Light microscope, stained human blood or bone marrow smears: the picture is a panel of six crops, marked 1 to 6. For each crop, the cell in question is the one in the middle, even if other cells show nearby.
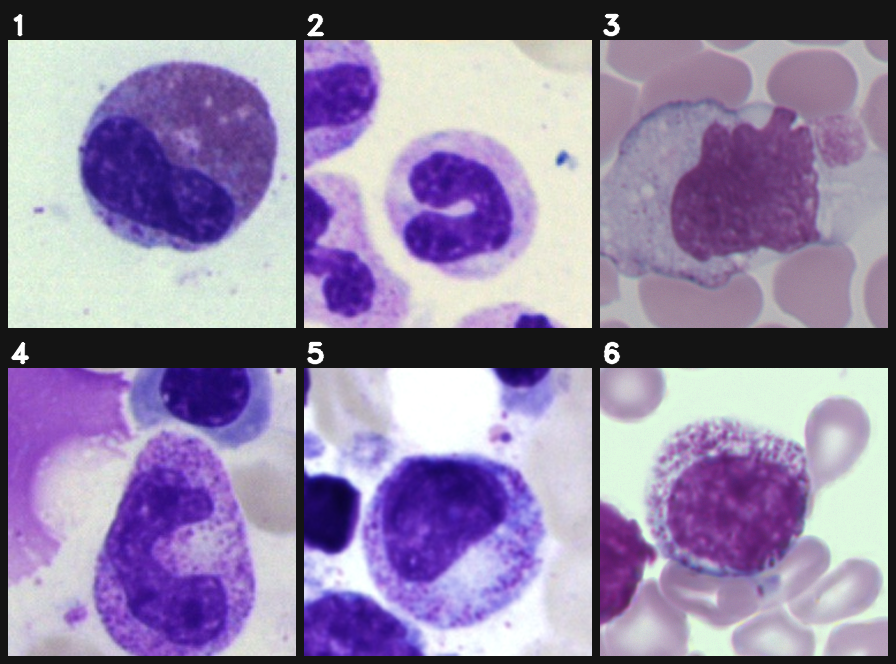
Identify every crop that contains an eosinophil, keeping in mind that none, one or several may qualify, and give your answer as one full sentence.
In this set, an eosinophil turns up only in crop 1.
